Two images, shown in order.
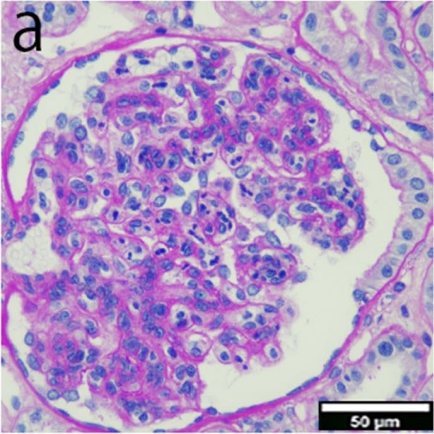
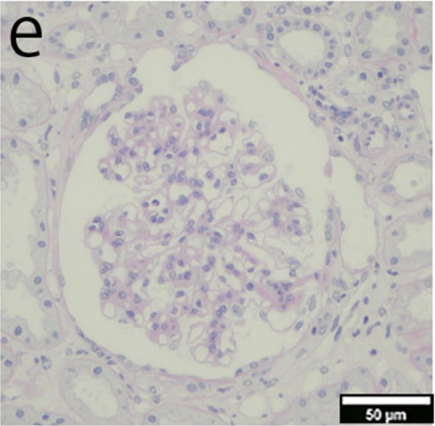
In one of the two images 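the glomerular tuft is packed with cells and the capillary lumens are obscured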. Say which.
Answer: the first image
